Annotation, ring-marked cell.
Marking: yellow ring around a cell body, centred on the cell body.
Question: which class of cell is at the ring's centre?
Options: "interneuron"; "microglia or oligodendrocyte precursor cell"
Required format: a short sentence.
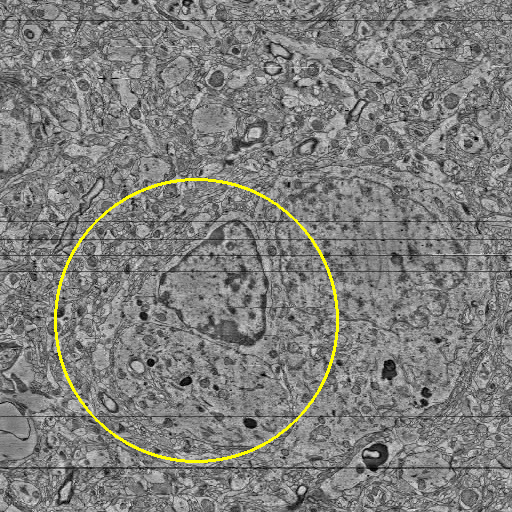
At the ring's centre is a microglial cell or oligodendrocyte precursor cell.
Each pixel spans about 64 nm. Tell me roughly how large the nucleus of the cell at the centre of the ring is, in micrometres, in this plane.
The nucleus comes to roughly 8 by 7 micrometres in this plane.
